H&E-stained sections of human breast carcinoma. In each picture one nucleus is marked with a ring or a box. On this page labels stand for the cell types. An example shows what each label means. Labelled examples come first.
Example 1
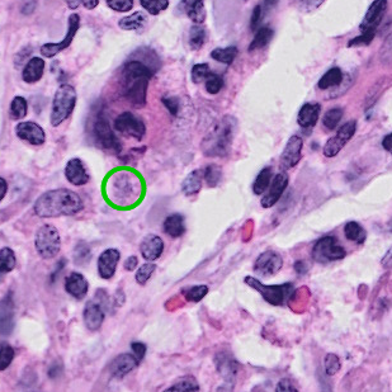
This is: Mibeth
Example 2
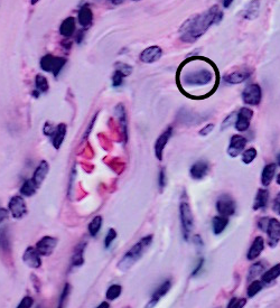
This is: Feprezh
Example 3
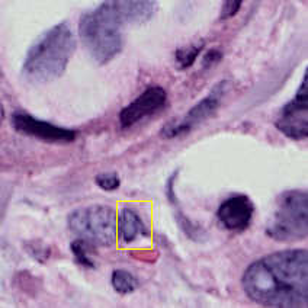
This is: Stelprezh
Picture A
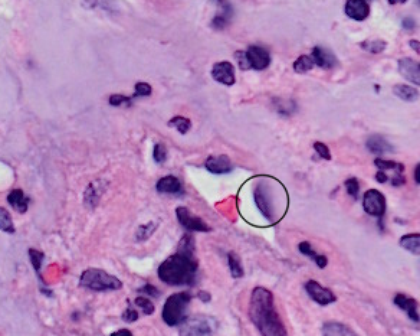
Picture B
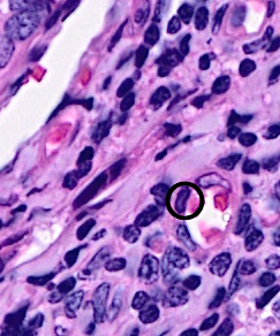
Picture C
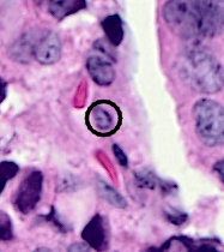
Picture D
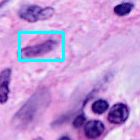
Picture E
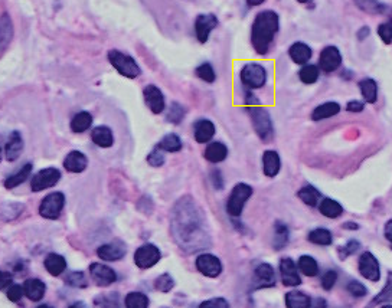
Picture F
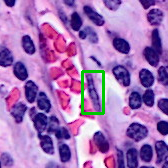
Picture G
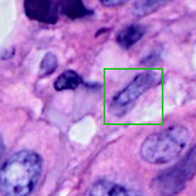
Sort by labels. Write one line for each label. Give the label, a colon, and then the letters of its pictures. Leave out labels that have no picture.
Mibeth: D, G
Feprezh: E
Stelprezh: A, B, C, F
